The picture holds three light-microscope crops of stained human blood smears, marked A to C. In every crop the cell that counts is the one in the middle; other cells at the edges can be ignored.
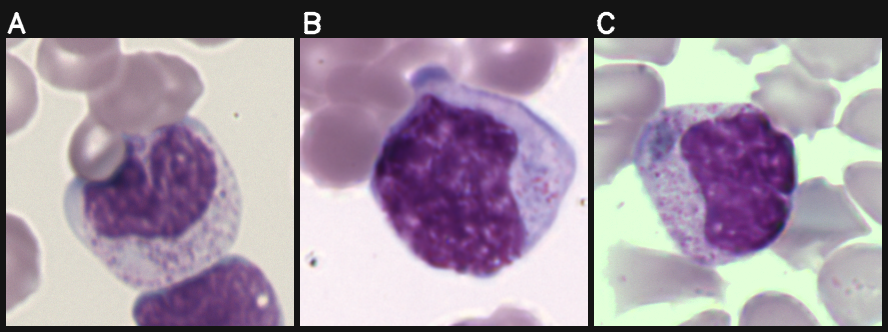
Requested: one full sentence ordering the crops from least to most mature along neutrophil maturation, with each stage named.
The order, going from least to most mature, is crop B (a promyelocyte), crop C (a band neutrophil) and crop A (a segmented neutrophil).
